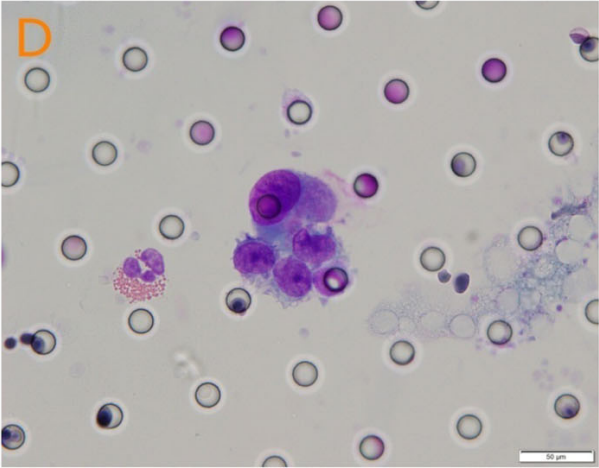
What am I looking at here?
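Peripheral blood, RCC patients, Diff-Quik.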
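A cluster of tumour cells lies on a porous filter, several large cells with round purple nuclei and bluish-purple cytoplasm pressed together into one clump. Pale bubbly debris lies to the right.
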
